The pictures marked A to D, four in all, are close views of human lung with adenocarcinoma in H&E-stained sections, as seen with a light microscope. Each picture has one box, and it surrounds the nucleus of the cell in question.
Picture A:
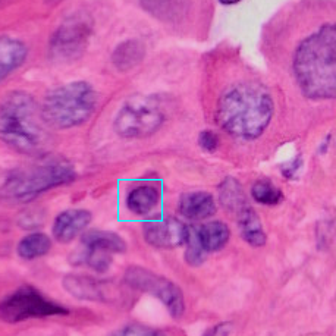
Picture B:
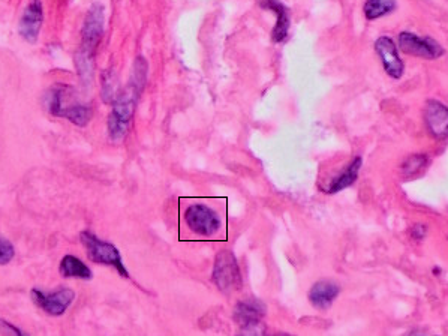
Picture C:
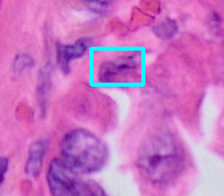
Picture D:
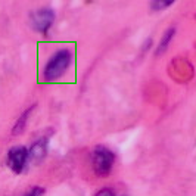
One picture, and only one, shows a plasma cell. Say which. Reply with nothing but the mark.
A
